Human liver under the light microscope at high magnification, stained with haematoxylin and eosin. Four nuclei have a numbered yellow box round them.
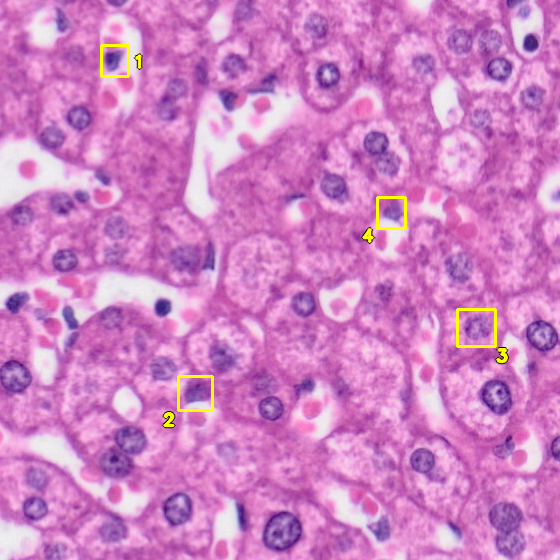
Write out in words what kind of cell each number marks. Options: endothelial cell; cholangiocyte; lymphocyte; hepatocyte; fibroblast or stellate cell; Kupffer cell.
Cell 1 is a lymphocyte. Cells 2 and 4 are endothelial cells. Cell 3 is a hepatocyte.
